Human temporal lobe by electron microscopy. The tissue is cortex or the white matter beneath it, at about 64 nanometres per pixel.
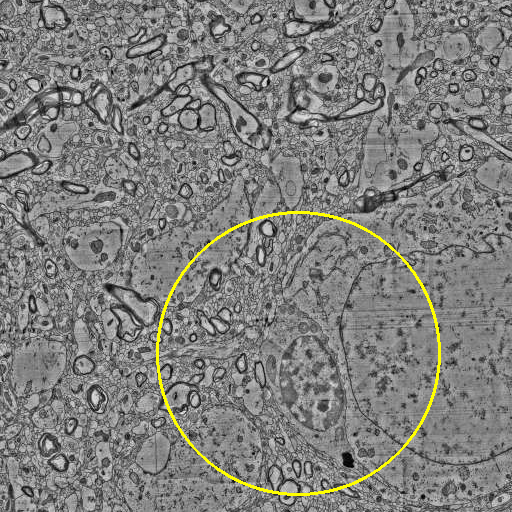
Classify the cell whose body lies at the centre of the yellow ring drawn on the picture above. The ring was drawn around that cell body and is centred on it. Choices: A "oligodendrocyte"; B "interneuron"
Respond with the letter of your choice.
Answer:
A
